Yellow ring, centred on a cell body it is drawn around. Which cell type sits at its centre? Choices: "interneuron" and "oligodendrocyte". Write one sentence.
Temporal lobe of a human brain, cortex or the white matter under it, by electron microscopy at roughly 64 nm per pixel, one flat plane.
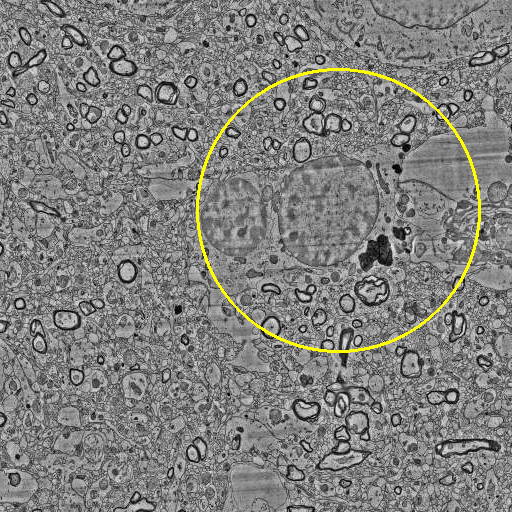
At the centre of the ring sits an oligodendrocyte.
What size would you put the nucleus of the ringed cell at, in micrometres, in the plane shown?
In this plane, about 8 micrometres in length and 6 in width.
